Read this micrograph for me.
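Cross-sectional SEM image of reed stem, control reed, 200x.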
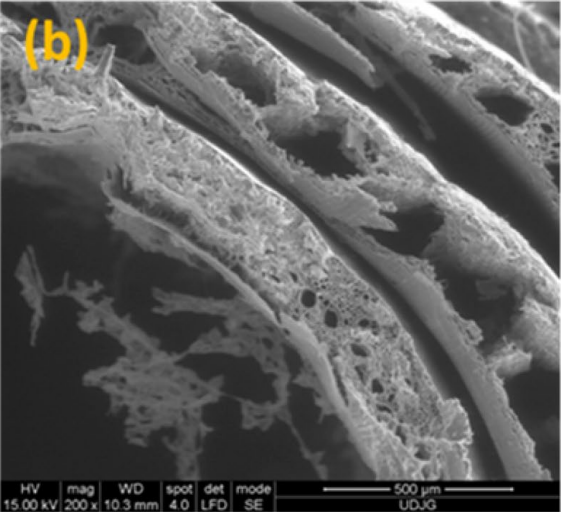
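The layers are separated by elongated gaps and run diagonally across the field. Within the middle layers there are irregular dark cavities bounded by porous walls of small cells. The cut surfaces look ragged, with torn, fibrous fragments projecting from the tissue. Loose strands of fibrous debris lie in the empty space at the lower left.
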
